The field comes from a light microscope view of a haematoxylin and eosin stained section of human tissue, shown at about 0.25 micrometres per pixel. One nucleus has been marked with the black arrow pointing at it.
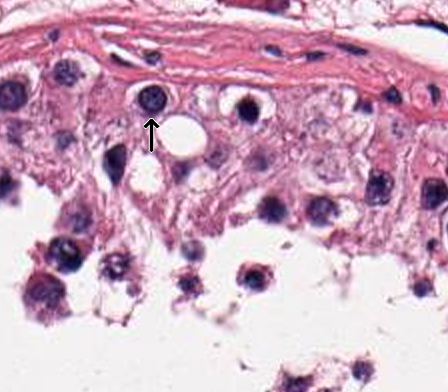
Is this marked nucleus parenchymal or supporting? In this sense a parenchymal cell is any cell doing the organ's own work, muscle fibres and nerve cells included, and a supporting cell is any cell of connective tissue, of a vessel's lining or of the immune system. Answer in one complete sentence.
In this section the marked nucleus belongs to a parenchymal cell, namely a spermatogonium.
